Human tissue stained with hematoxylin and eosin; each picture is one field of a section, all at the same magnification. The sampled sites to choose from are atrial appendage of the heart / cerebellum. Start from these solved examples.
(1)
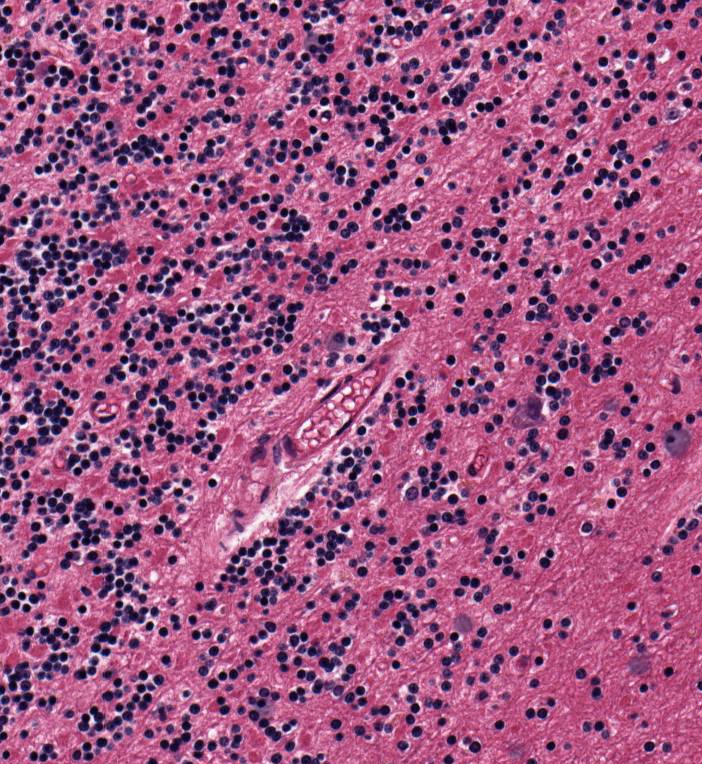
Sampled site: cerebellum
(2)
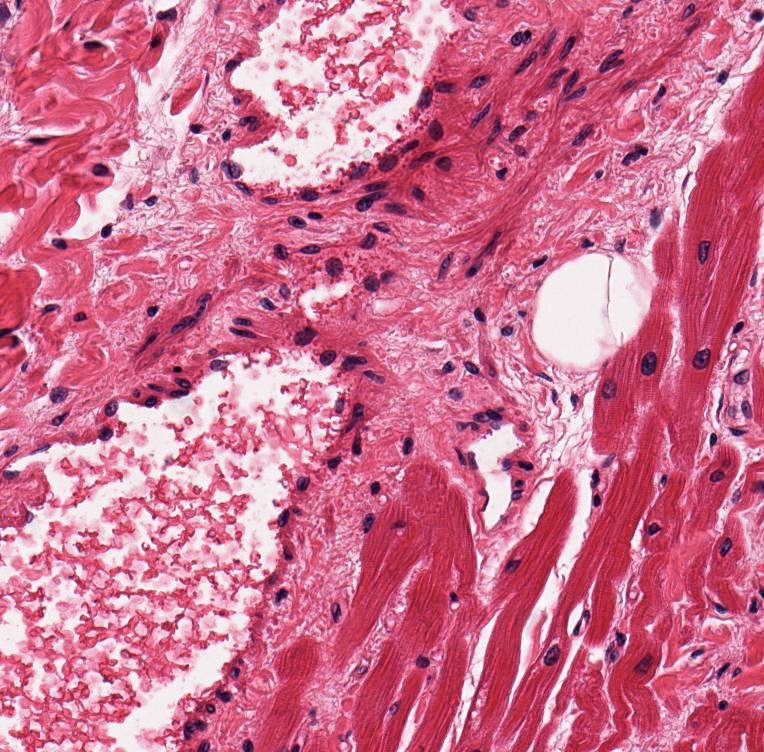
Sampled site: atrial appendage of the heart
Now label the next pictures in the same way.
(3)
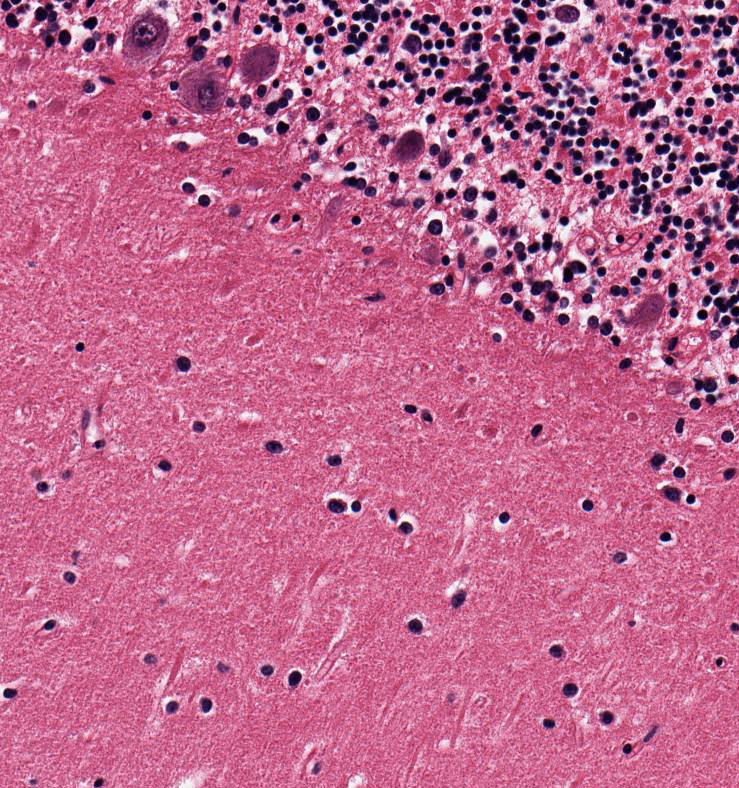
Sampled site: cerebellum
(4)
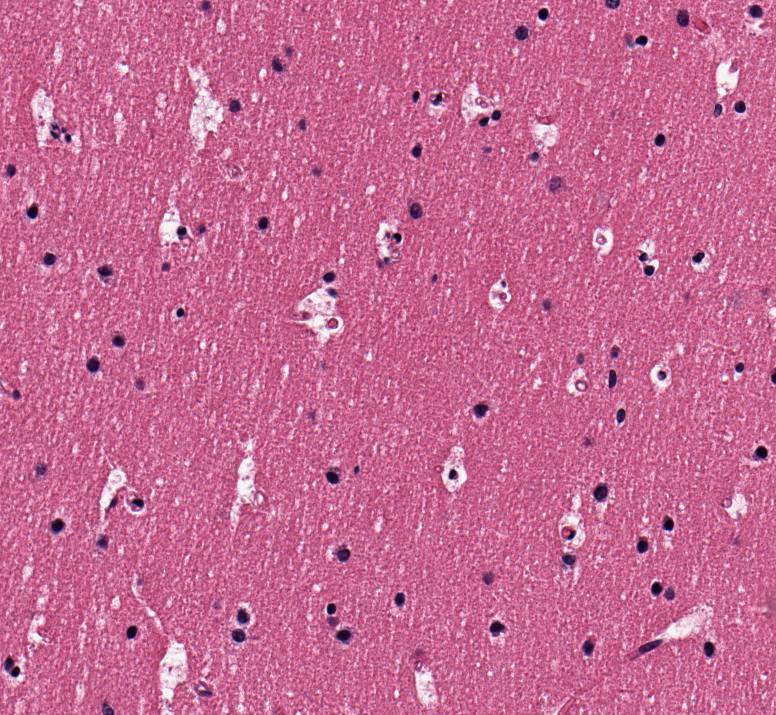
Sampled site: cerebellum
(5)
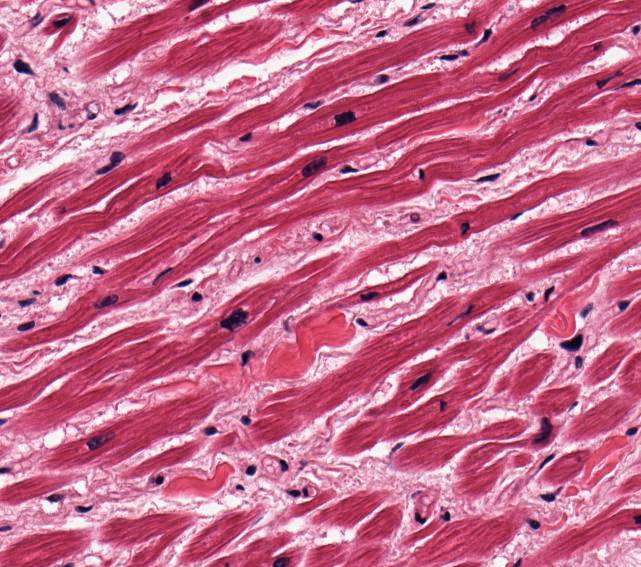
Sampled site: atrial appendage of the heart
